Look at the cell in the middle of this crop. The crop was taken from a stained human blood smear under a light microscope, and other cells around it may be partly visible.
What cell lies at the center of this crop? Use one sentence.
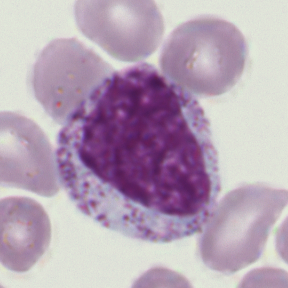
In short, the cell at the center is a myelocyte.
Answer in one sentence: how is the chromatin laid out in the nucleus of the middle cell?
The chromatin in this nucleus is coarsely clumped.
